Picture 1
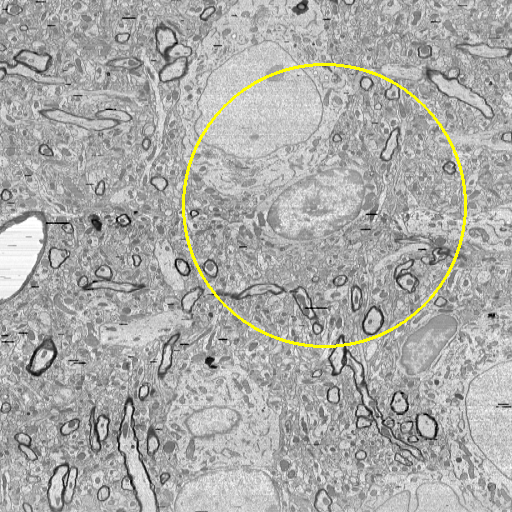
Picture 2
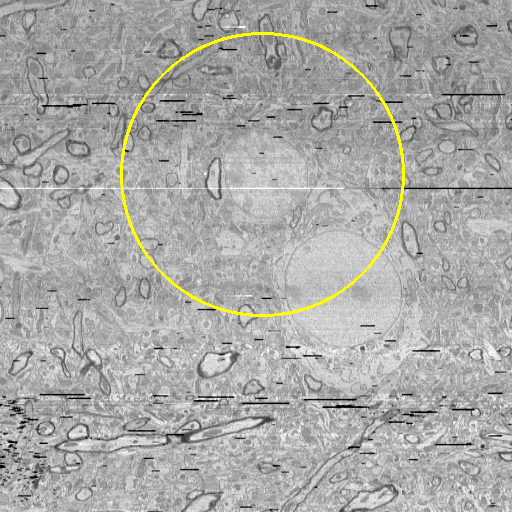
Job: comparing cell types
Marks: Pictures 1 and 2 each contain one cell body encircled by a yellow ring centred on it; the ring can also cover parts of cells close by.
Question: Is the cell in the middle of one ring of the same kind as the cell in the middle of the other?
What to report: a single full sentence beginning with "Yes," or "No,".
Yes, the cell at the ring centre in Picture 1 and its partner in Picture 2 are of one kind.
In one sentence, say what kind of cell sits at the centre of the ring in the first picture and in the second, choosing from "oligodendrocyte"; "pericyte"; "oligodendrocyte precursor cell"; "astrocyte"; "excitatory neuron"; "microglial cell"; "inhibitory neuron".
Both pictures show an oligodendrocyte at the centre of the ring.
